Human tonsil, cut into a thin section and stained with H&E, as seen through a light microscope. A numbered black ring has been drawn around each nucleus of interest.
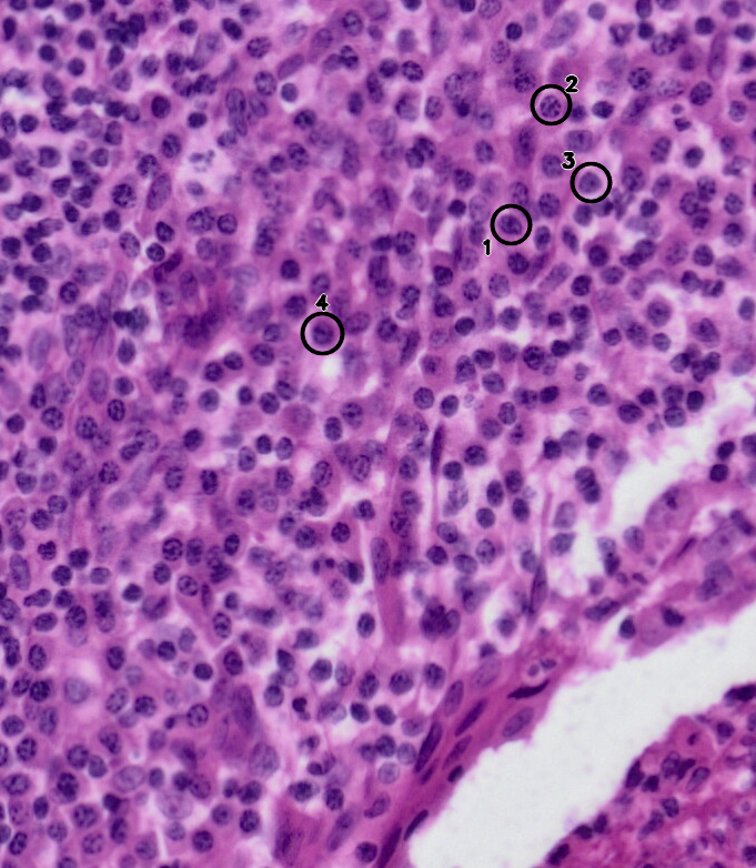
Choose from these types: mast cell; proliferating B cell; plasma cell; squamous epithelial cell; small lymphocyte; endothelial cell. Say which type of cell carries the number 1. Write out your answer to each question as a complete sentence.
Belonging to a plasma cell is the nucleus that carries the number 1.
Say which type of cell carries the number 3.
The cell that is numbered 3 is a mast cell.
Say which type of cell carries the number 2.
The correct answer for cell 2 is a plasma cell.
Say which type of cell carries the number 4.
Cell 4 is classified as a plasma cell.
